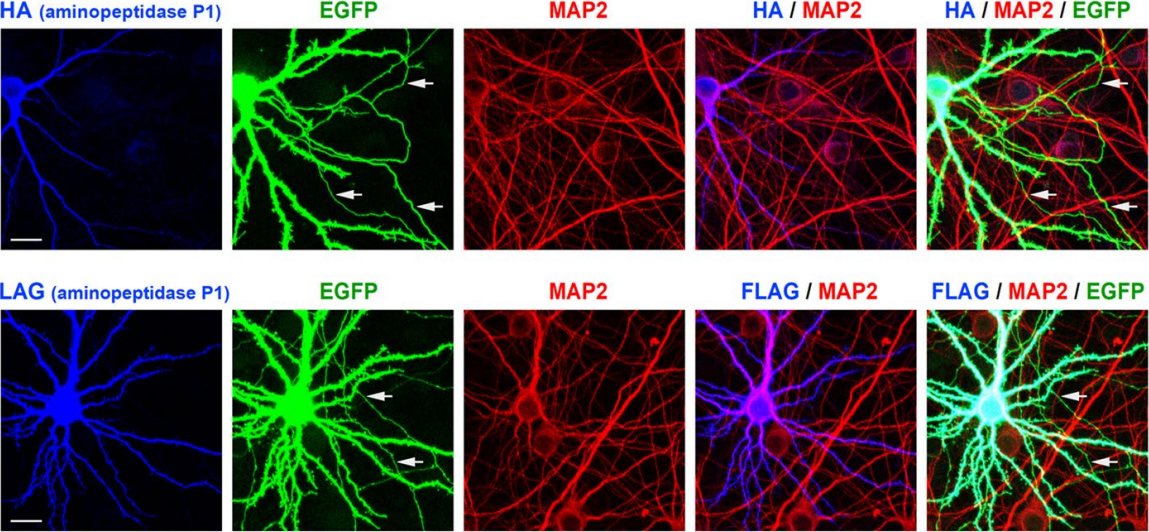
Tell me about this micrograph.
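One neuron per row is filled green: a bright rounded soma gives off several thick, tapering, spiny branches and, separately, long thin smooth processes of even calibre. The blue label fills the same soma and the thick branches but little of the thin processes. Red outlines many somata and thick tapering branches of neighbouring unfilled neurons, forming a criss-crossing meshwork. In merged views the thick branches of the filled neuron appear blue-red or white, whereas the thin smooth processes remain green only, lying across the red meshwork.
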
